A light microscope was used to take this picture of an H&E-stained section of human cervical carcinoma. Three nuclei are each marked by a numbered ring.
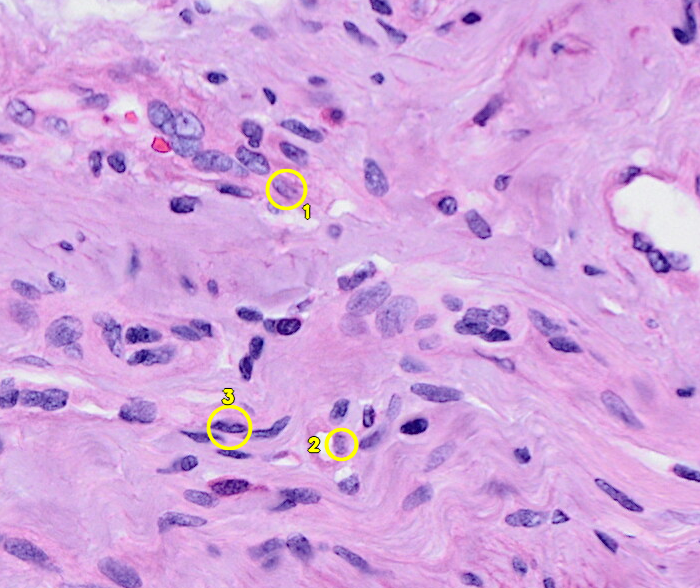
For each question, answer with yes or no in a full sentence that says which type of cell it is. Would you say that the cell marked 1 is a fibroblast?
No, number 1 is assigned to an endothelial cell, not to a fibroblast.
